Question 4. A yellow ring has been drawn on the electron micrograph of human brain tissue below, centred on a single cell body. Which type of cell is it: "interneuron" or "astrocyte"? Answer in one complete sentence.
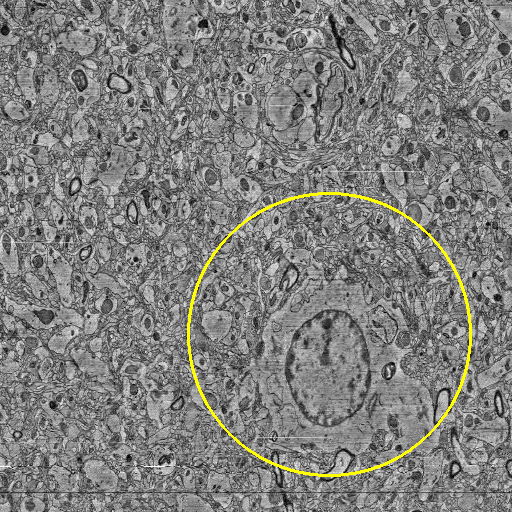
This cell body belongs to an astrocyte.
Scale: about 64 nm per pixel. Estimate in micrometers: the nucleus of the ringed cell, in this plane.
In this plane, the nucleus of the cell at the centre of the ring measures about 8 by 5 micrometres.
